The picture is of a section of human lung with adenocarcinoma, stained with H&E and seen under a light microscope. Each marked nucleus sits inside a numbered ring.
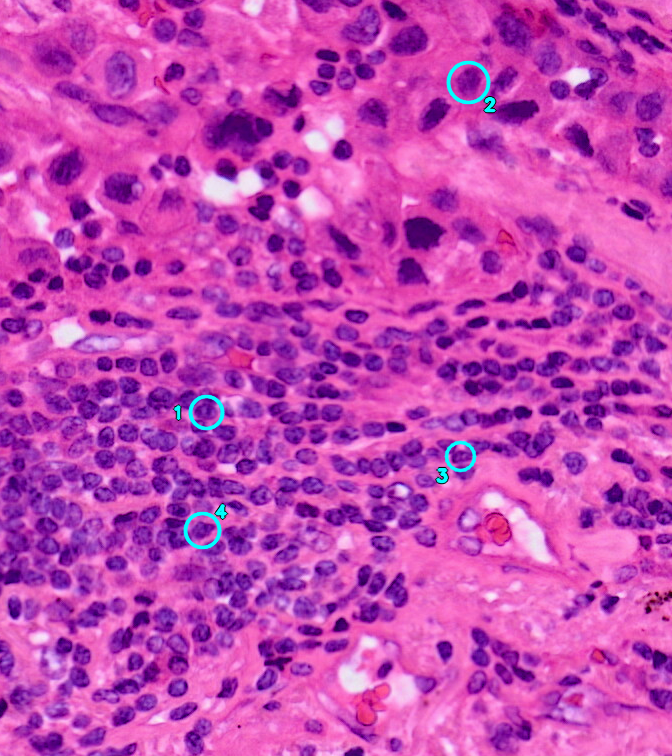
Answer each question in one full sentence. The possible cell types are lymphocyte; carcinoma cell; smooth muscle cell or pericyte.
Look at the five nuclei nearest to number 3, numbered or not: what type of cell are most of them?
The majority of the five nuclei closest to number 3 belong to lymphocytes.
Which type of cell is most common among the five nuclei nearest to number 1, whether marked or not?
Of the five nuclei nearest to number 1, most belong to lymphocytes.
